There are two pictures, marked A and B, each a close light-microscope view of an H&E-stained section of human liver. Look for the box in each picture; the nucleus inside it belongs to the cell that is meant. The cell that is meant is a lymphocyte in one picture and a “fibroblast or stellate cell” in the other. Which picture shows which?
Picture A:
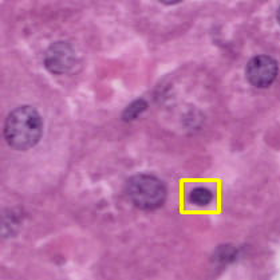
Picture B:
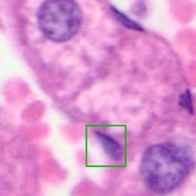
A: lymphocyte
B: fibroblast or stellate cell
